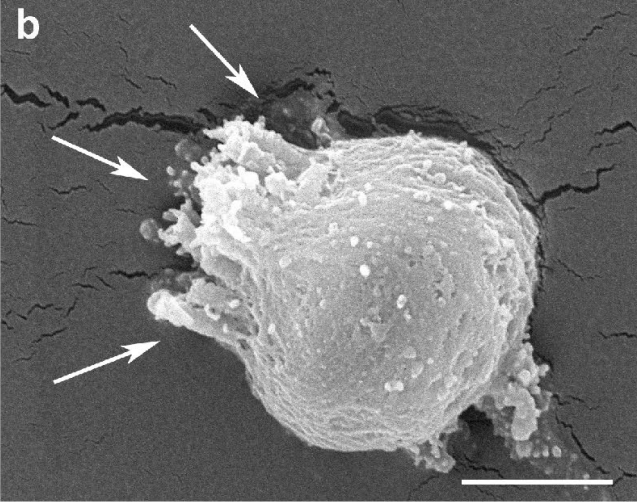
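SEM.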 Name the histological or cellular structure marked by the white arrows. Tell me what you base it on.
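A roundish vesicle bears many short protrusions at one pole. The arrows point to these small protrusions. That points to this answer: finger-like extensions.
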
